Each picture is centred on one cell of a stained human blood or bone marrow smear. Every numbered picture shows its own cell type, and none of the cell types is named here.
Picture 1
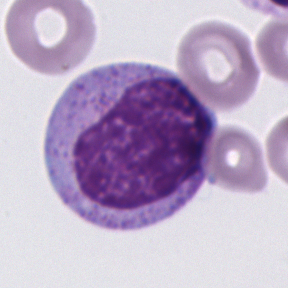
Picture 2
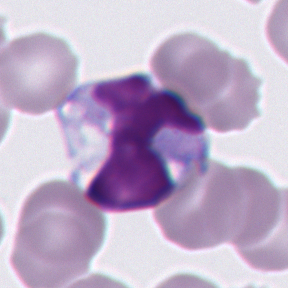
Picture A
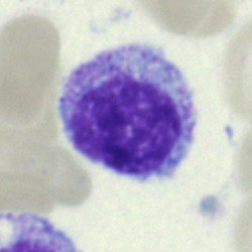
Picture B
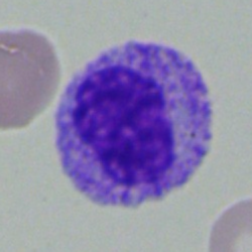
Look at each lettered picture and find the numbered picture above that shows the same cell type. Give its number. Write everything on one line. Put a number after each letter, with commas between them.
A 1, B 1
